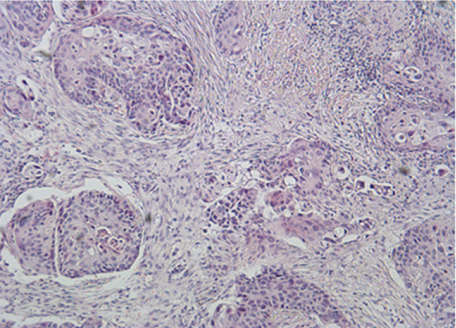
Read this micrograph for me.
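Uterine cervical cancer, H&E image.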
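The tumour cells have enlarged, pleomorphic, purple nuclei and ample pink cytoplasm, and some nests hold rounded pink keratinised cells at their centres. The stroma between the nests is made of pale spindle cells with scattered clusters of small dark inflammatory cells.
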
